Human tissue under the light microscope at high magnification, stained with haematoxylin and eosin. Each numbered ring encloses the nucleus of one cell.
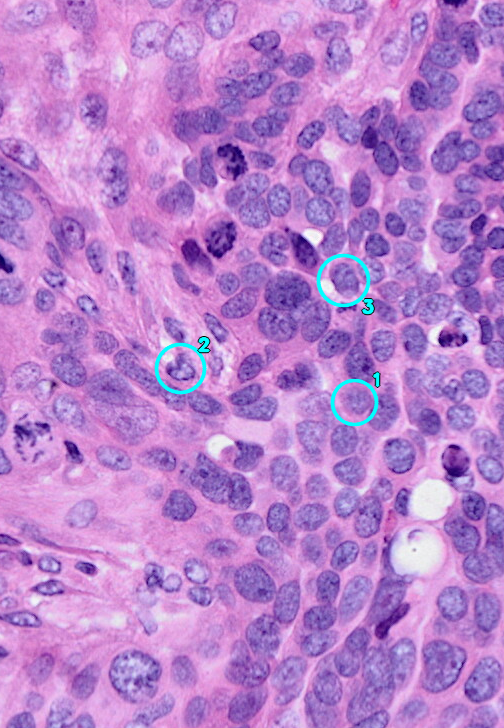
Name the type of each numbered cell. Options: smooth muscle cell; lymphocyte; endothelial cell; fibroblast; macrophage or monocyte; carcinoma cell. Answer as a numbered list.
1. carcinoma cell
2. fibroblast
3. carcinoma cell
